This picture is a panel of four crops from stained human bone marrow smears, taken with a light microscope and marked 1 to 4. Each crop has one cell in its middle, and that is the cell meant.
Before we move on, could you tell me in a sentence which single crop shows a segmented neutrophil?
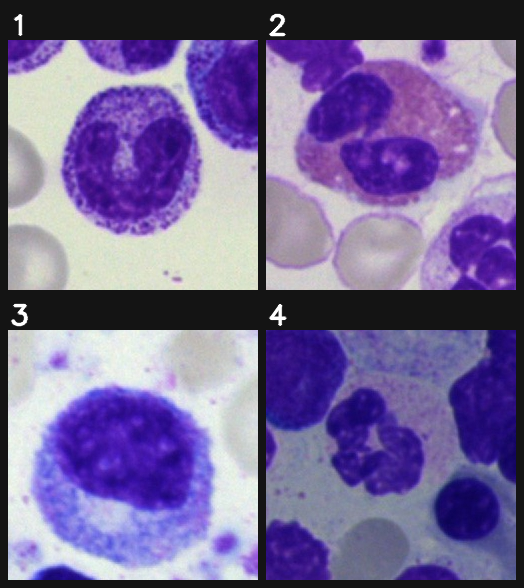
Crop 4 is the one depicting a segmented neutrophil.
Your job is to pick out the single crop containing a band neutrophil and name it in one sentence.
In the set of crops, crop 1 is the one that contains a band neutrophil.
